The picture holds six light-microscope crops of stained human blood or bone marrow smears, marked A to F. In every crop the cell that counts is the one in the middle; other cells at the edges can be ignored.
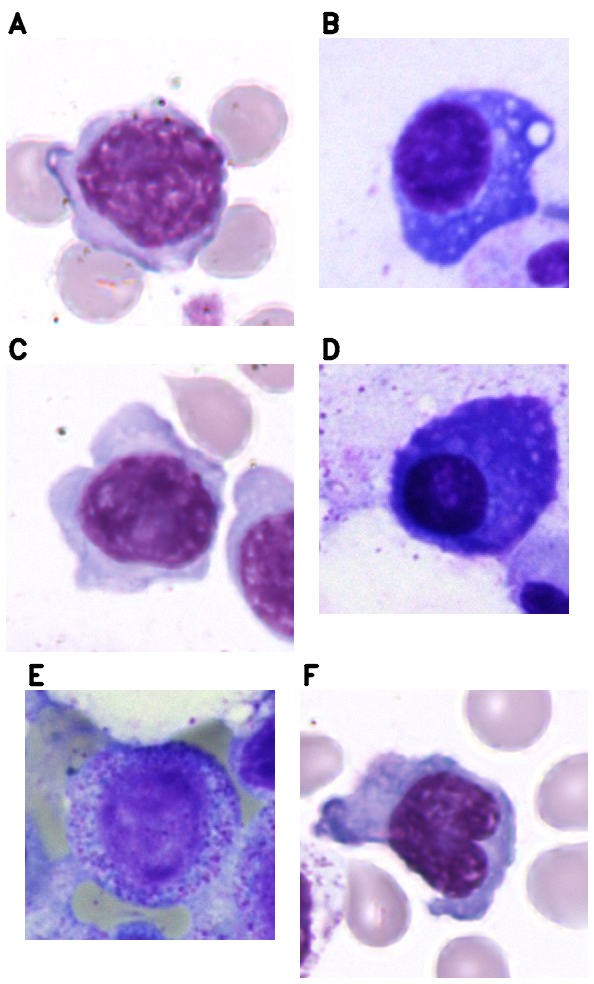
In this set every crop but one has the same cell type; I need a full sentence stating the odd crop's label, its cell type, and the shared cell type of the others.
The single exception among the crops is crop E, which is a myelocyte; the rest show plasma cells.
